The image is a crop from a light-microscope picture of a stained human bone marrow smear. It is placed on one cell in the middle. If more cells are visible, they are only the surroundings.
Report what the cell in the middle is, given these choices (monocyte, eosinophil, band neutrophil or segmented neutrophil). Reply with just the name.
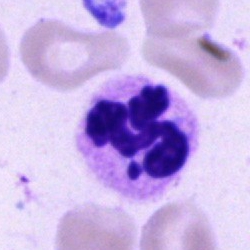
segmented neutrophil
